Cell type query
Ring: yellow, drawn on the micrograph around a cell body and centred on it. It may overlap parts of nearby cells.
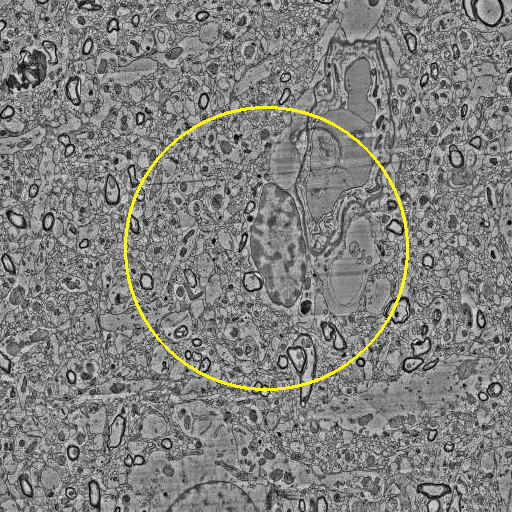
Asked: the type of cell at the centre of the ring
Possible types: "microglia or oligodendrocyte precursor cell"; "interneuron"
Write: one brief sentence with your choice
The ring marks a microglial cell or oligodendrocyte precursor cell.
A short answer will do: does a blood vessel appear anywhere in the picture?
Yes, the image shows a blood vessel.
